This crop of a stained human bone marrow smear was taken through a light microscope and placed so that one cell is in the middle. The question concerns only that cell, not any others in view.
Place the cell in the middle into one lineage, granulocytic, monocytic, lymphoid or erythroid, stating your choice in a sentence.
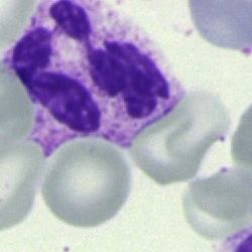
In the crop, the cell at the center is of granulocytic lineage.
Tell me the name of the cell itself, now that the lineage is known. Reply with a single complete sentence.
For this crop, the cell in the middle is a segmented neutrophil.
